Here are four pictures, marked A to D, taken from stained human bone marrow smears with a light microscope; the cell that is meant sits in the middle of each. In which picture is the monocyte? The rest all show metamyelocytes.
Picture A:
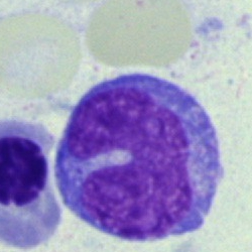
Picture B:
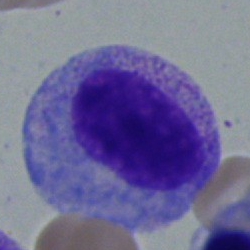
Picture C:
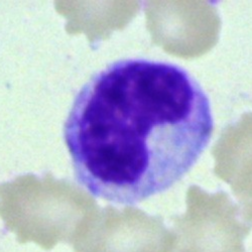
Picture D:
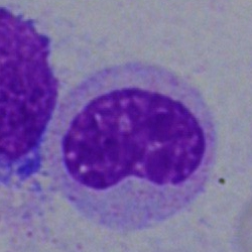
A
